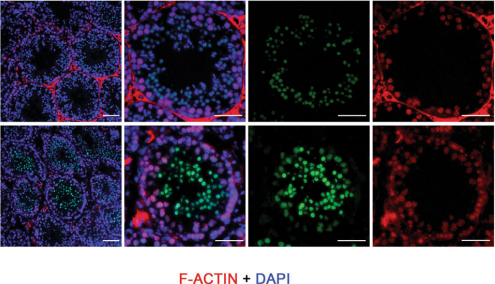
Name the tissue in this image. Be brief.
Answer: testis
